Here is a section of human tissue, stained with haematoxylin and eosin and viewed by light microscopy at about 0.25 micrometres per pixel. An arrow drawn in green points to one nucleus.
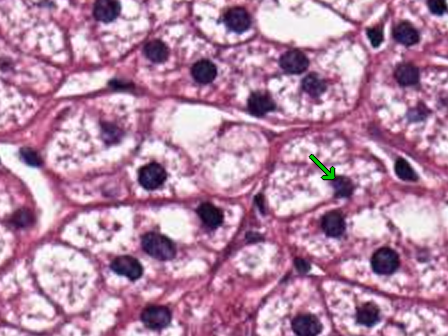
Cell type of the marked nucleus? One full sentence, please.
The marked nucleus belongs to an adrenal cortical cell.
